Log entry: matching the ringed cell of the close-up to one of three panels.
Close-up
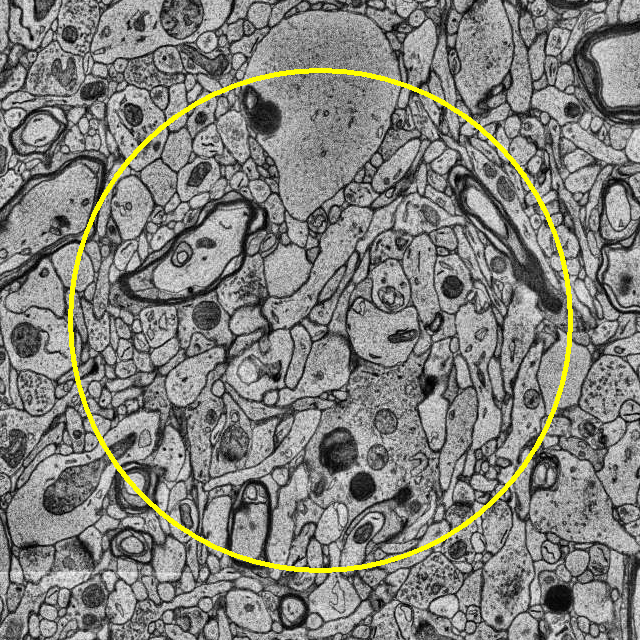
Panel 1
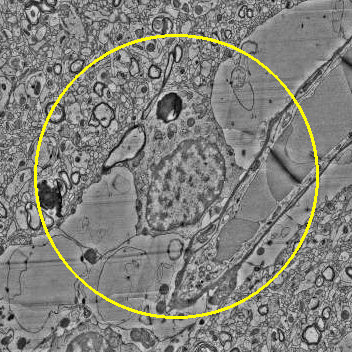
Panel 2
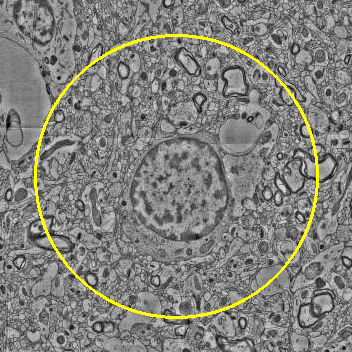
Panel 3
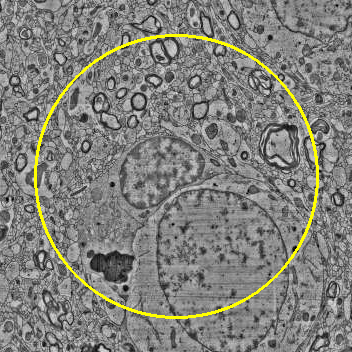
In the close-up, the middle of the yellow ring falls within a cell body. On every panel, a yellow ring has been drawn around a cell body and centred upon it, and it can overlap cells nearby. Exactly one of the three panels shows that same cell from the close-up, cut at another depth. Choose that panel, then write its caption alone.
Panel 2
